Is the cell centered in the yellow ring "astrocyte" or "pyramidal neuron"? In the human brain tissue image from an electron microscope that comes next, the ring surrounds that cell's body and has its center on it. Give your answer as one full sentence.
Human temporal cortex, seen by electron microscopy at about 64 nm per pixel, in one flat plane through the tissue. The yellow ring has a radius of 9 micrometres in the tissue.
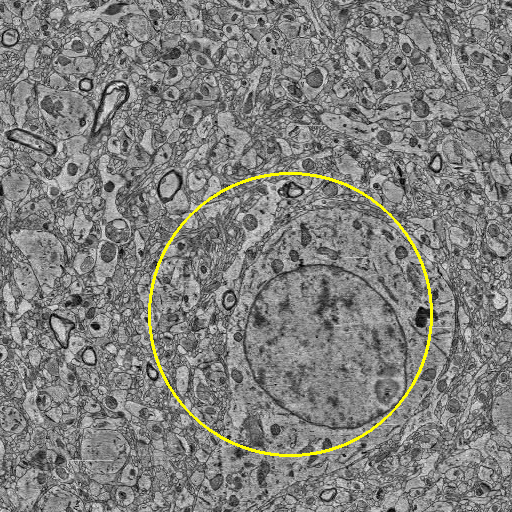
The cell at the center of the yellow ring is a pyramidal neuron in the micrograph.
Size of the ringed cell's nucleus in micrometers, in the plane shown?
In this plane the nucleus is about 12 micrometres by 10.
